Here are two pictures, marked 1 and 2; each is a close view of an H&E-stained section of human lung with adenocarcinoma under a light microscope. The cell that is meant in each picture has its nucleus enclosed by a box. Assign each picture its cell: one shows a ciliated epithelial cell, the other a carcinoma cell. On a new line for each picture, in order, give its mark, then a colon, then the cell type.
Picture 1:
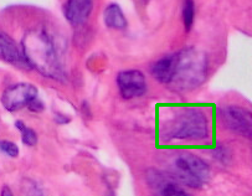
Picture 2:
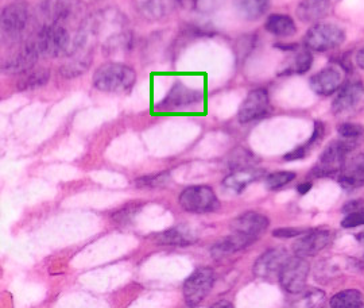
1: carcinoma cell
2: ciliated epithelial cell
